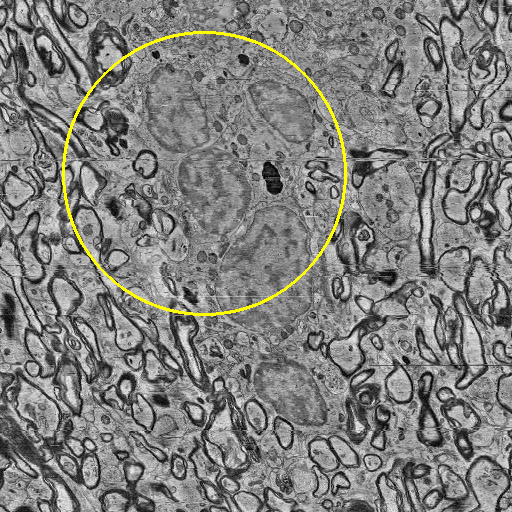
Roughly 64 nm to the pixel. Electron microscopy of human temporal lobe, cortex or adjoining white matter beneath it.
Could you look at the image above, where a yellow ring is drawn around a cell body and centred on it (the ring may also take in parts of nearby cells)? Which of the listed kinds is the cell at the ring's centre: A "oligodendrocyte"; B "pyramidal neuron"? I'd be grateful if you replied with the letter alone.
A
